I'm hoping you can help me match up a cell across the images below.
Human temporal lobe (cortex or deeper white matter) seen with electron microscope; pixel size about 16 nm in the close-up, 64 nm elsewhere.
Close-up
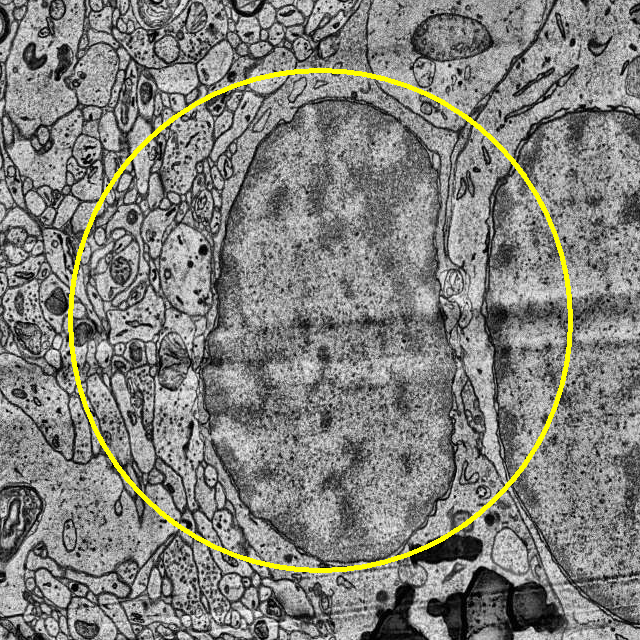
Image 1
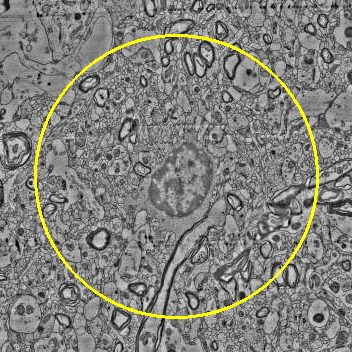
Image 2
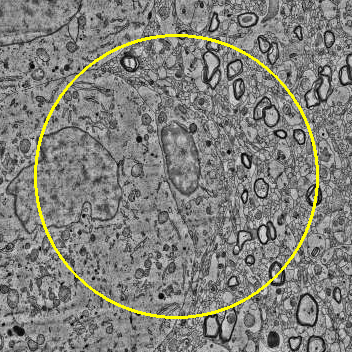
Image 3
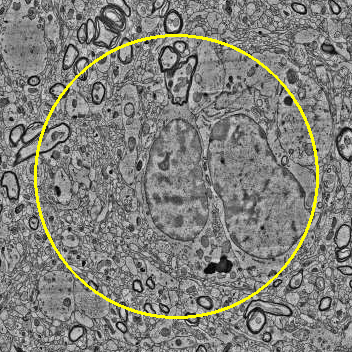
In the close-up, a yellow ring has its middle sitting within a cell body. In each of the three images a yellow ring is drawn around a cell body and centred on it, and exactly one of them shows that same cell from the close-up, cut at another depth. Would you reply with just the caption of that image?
Image 3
